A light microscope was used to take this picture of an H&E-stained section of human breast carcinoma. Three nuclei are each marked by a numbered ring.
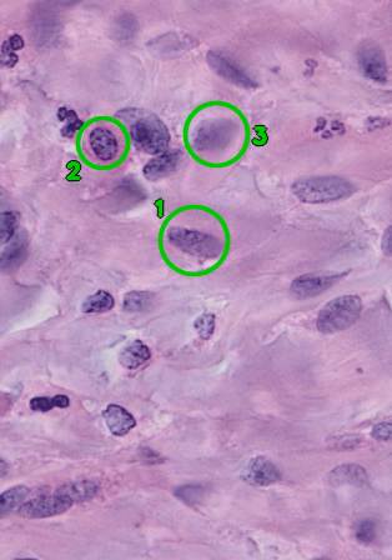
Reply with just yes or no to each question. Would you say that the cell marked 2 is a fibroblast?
no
